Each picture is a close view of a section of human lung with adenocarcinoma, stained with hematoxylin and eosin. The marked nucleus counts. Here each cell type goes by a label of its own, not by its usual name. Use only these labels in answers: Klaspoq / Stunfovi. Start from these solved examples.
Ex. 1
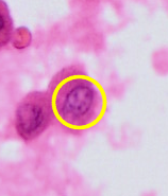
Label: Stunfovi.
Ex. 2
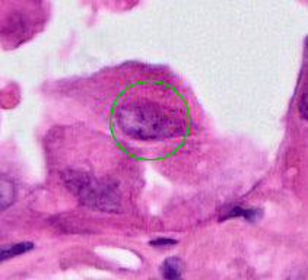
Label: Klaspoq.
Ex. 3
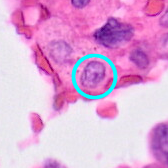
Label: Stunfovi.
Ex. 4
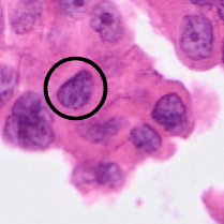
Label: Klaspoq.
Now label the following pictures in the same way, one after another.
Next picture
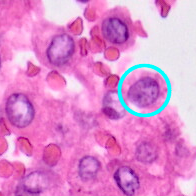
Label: Stunfovi.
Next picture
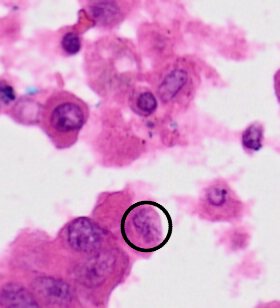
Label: Klaspoq.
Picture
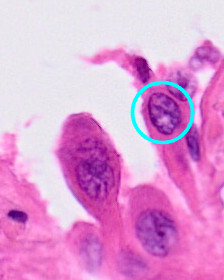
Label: Klaspoq.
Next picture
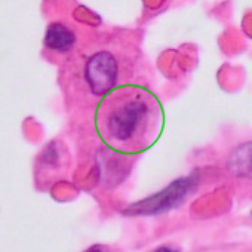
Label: Stunfovi.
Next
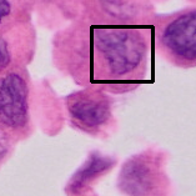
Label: Klaspoq.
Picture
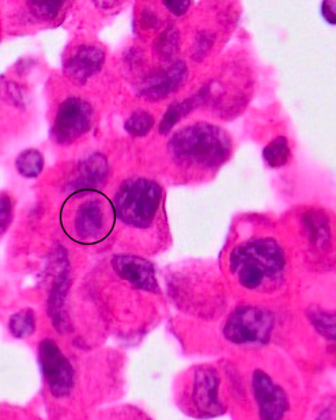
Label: Klaspoq.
